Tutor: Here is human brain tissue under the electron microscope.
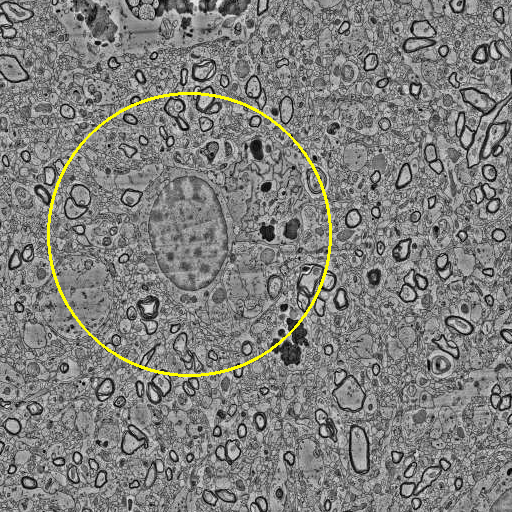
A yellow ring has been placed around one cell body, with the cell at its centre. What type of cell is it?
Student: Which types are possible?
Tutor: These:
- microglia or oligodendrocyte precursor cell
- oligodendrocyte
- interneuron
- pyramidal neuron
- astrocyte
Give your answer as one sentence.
What the ring picks out here is an oligodendrocyte.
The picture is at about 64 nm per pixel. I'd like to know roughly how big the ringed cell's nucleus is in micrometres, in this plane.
In this plane, the nucleus of the cell at the centre of the ring measures about 7 by 5 micrometres.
